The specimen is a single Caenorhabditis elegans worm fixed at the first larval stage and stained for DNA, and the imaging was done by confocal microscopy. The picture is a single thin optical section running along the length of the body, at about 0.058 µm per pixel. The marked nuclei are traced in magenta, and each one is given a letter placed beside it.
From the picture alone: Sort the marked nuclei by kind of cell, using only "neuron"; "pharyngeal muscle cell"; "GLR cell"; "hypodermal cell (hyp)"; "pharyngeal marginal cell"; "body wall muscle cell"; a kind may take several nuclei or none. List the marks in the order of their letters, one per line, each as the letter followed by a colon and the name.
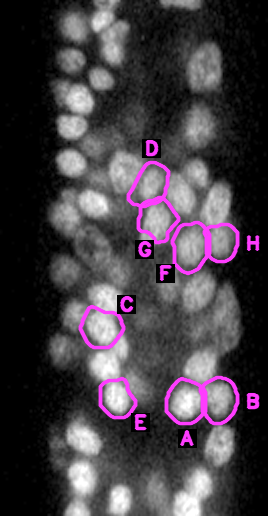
A: GLR cell
B: neuron
C: neuron
D: pharyngeal muscle cell
E: GLR cell
F: neuron
G: pharyngeal marginal cell
H: body wall muscle cell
